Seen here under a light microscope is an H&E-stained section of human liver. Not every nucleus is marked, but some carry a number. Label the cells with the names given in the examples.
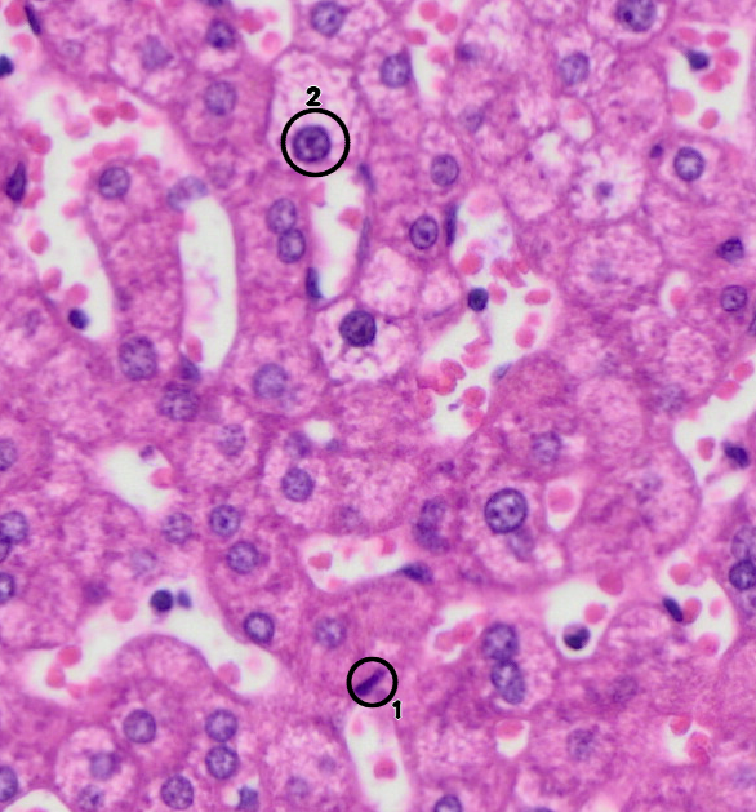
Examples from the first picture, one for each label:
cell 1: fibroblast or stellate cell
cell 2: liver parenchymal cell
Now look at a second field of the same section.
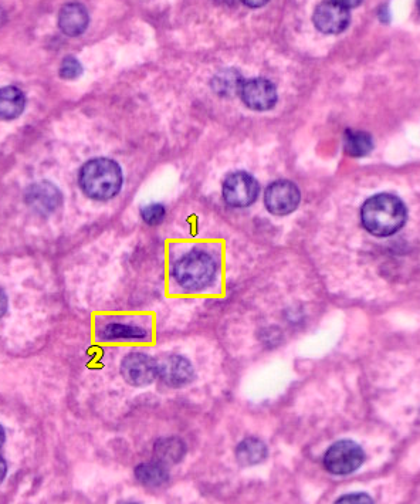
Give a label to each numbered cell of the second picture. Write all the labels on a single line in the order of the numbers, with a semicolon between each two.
liver parenchymal cell; fibroblast or stellate cell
